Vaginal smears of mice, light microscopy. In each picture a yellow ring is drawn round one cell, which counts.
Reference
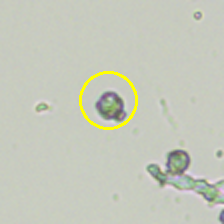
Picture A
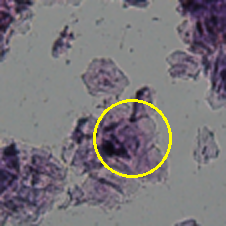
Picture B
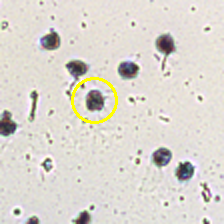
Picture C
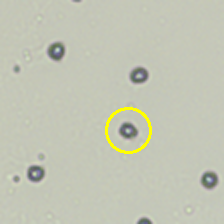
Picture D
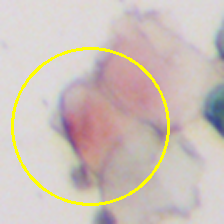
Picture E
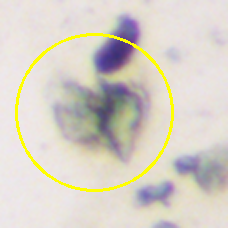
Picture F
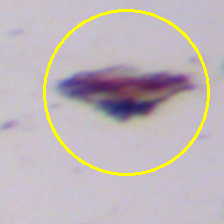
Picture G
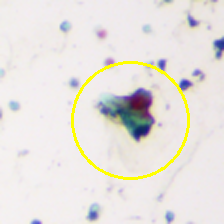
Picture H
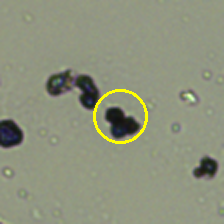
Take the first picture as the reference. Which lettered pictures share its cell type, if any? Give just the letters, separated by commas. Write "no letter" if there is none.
B, C, H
